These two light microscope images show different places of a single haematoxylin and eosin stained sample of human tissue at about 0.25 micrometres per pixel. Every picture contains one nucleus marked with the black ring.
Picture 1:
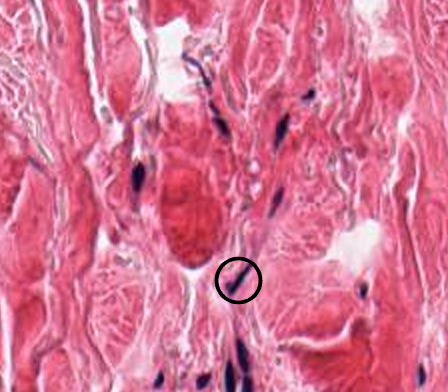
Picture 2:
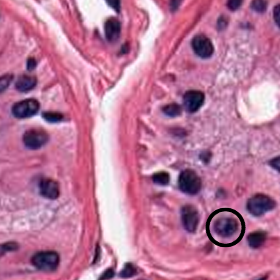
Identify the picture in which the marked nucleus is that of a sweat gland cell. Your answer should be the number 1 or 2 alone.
2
